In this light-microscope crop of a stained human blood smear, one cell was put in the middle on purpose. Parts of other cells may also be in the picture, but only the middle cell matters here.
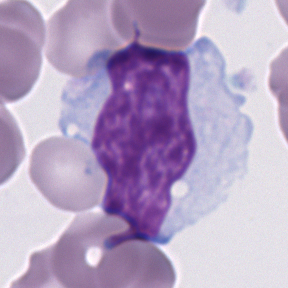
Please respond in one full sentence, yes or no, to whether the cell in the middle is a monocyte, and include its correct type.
No, what occupies the middle of the crop is a myeloblast and not a monocyte.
